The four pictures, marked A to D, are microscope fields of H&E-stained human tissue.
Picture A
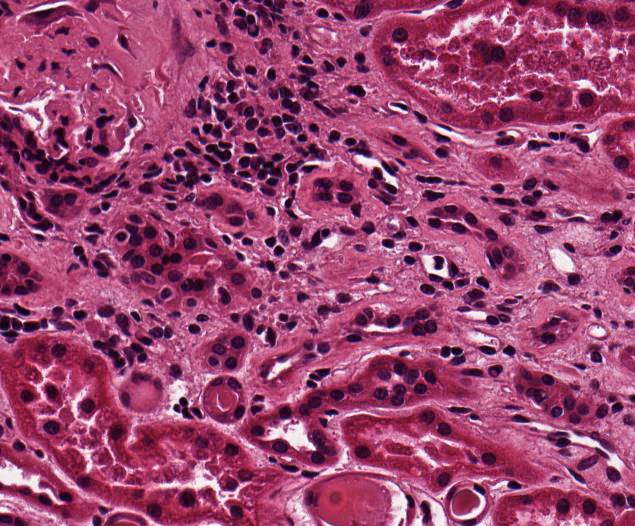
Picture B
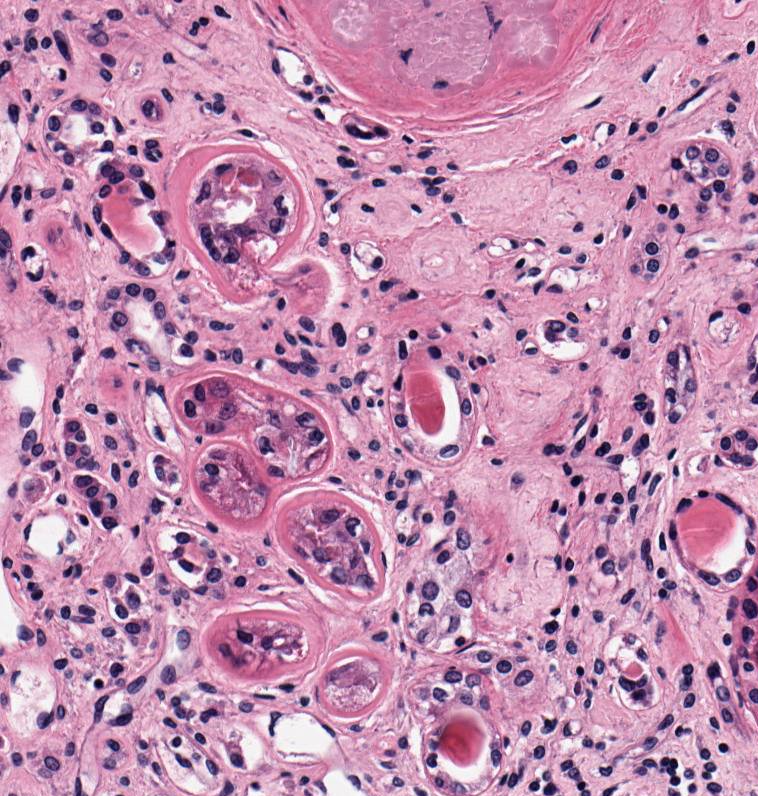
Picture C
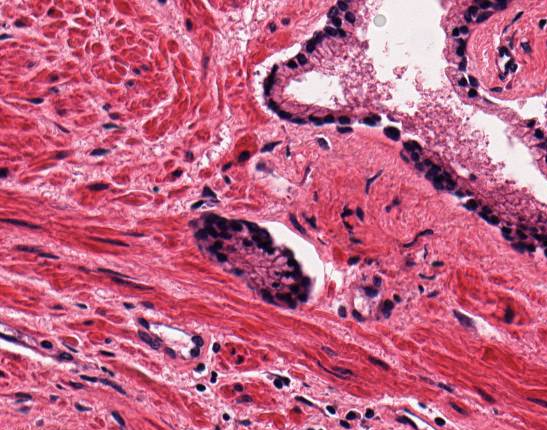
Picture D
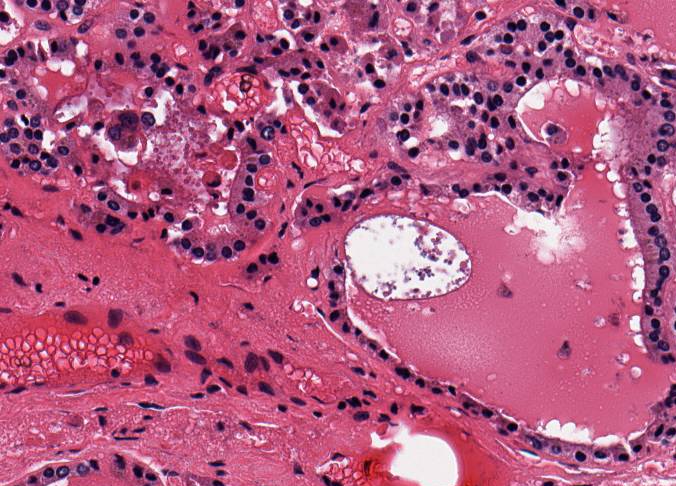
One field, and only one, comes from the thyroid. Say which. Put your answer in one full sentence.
The one that comes from the thyroid is picture D.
